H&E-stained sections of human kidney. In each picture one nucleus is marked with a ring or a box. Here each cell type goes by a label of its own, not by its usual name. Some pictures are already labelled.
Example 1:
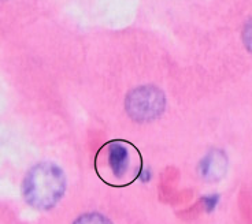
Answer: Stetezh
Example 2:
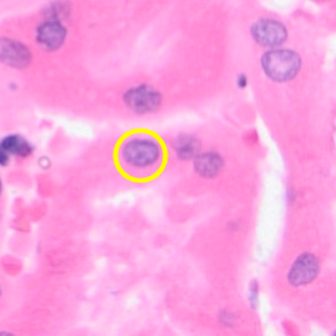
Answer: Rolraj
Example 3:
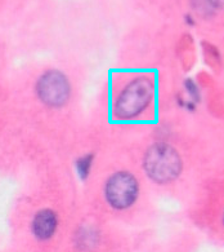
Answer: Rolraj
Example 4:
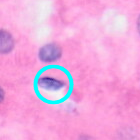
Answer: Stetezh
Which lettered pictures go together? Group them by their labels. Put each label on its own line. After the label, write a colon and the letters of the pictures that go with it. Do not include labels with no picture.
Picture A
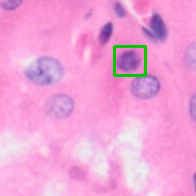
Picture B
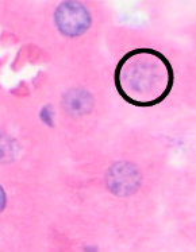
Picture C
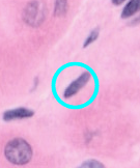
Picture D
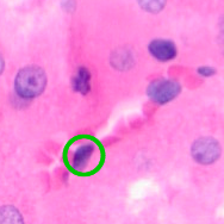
Stetezh: C, D
Rolraj: A, B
